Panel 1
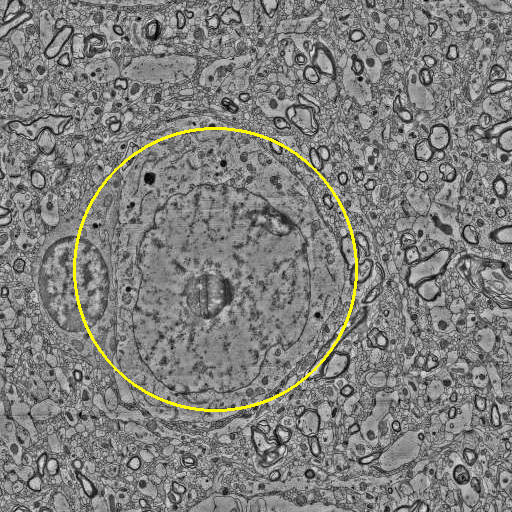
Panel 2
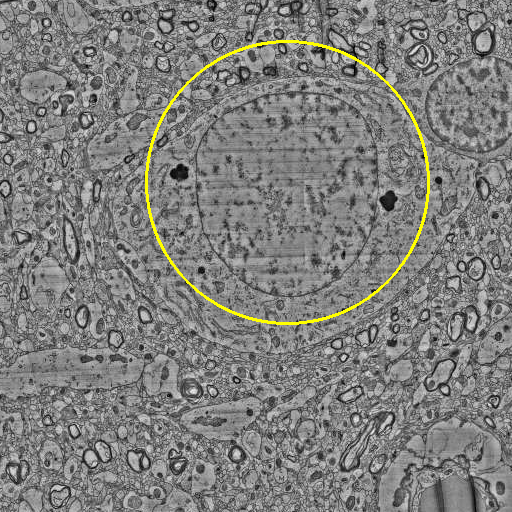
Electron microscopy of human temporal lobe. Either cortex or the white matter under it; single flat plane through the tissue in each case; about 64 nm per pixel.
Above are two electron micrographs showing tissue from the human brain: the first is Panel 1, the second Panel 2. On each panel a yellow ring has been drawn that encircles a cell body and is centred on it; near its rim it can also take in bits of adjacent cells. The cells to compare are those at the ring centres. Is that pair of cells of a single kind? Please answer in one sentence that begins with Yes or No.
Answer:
Yes, the ring-centred cells of Panel 1 and Panel 2 belong to one kind.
